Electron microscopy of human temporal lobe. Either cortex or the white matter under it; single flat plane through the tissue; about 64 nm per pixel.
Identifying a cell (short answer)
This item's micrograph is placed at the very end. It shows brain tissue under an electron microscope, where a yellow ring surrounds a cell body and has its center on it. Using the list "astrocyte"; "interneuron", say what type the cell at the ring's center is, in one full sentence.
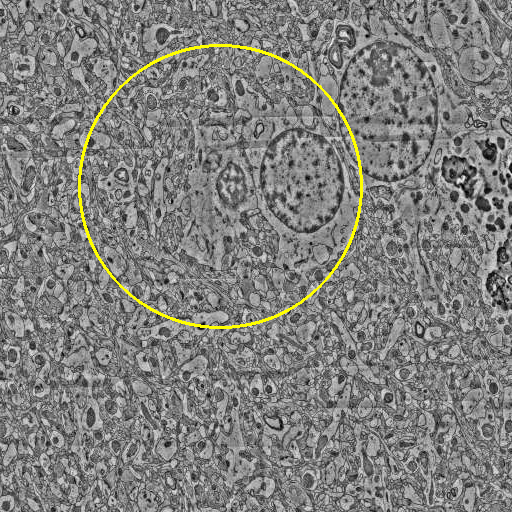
This picture shows an astrocyte at the center of the yellow ring drawn on it.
